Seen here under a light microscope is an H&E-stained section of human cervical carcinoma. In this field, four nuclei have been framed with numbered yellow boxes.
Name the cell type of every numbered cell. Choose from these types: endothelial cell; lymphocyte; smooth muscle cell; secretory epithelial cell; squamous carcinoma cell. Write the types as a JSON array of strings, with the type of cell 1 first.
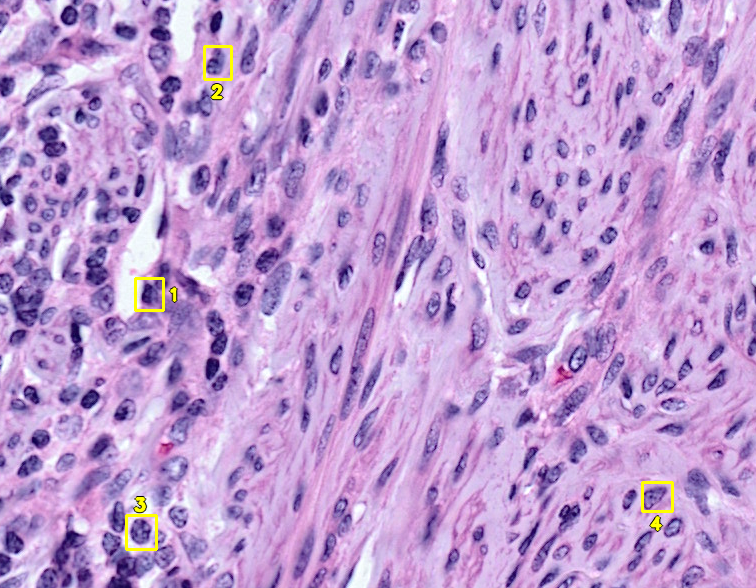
["lymphocyte", "lymphocyte", "lymphocyte", "smooth muscle cell"]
